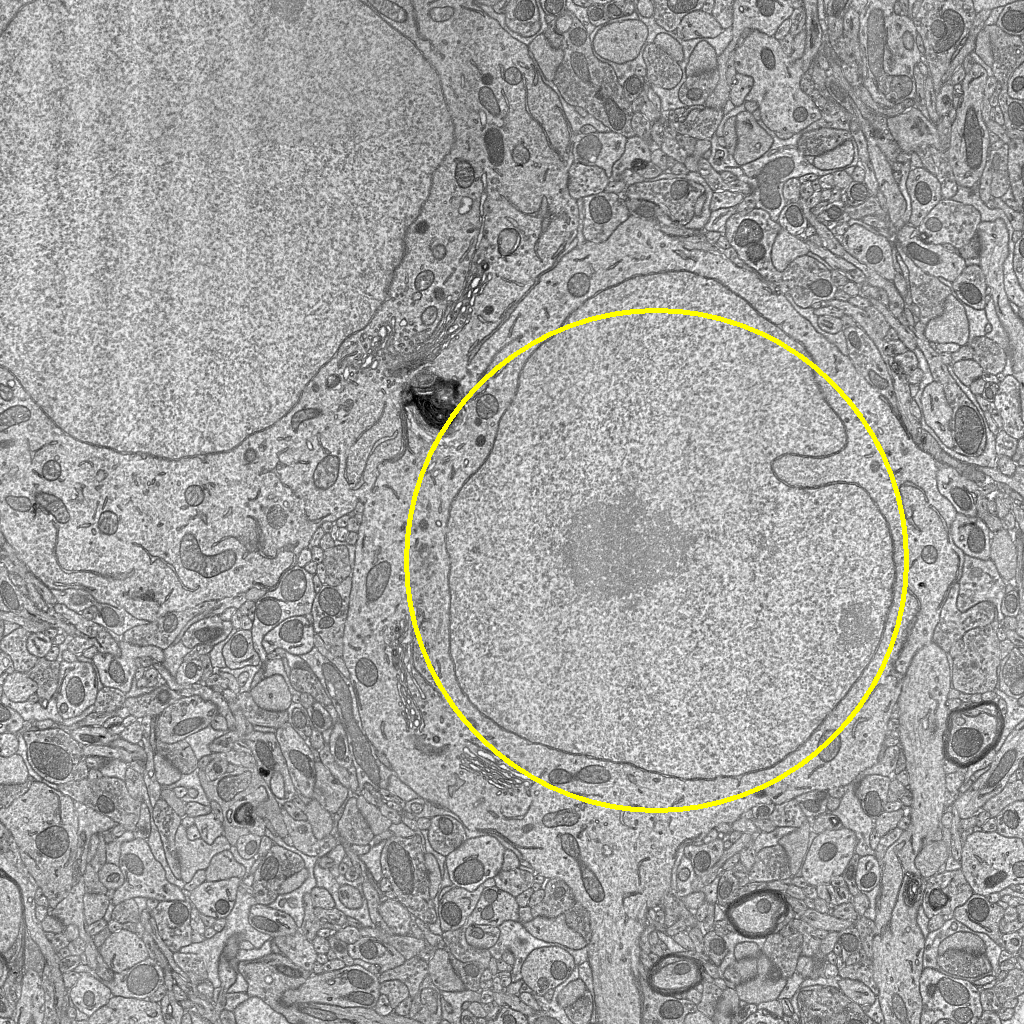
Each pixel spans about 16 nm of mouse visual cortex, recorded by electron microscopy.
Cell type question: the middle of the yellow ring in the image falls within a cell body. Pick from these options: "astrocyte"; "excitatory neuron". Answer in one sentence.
The cell body at the center of the ring belongs to an excitatory neuron.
